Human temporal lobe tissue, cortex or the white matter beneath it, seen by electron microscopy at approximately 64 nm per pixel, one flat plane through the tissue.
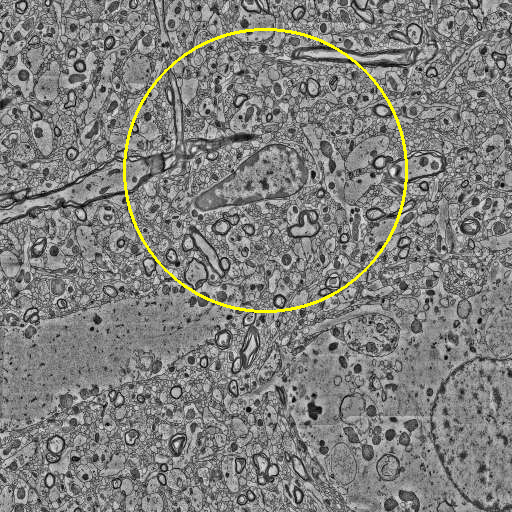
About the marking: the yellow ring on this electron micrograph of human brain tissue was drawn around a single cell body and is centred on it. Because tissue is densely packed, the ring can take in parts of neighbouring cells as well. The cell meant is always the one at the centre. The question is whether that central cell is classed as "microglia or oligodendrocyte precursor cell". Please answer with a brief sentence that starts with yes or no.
Yes, the central cell is classed that way.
